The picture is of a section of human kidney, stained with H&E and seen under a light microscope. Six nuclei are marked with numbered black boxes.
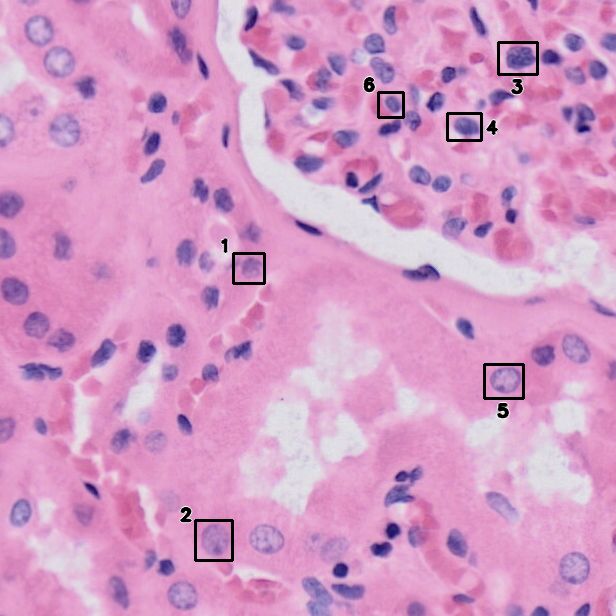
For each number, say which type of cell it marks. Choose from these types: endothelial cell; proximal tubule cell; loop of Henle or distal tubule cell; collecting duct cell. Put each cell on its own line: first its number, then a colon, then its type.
1: loop of Henle or distal tubule cell
2: proximal tubule cell
3: endothelial cell
4: endothelial cell
5: proximal tubule cell
6: endothelial cell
